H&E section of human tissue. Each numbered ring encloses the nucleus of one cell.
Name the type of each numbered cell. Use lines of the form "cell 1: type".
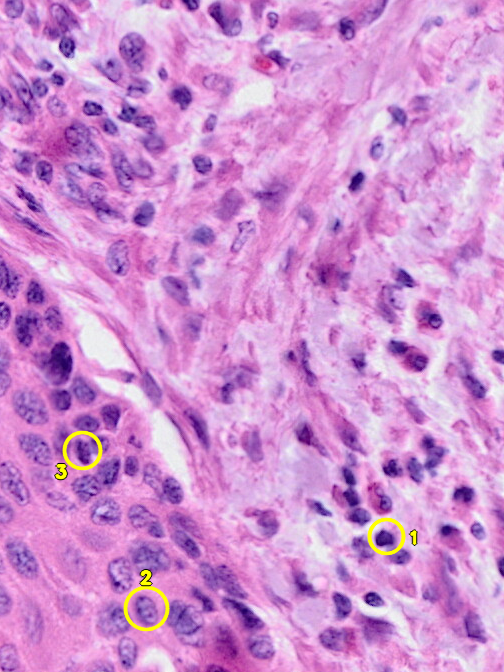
cell 1: lymphocyte
cell 2: squamous carcinoma cell
cell 3: squamous carcinoma cell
